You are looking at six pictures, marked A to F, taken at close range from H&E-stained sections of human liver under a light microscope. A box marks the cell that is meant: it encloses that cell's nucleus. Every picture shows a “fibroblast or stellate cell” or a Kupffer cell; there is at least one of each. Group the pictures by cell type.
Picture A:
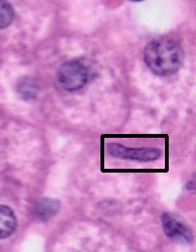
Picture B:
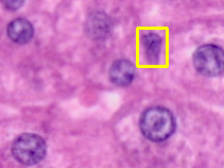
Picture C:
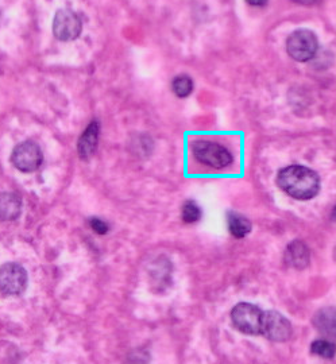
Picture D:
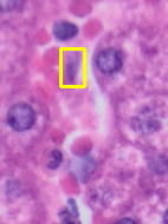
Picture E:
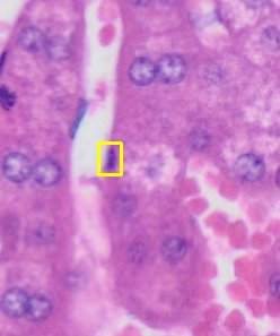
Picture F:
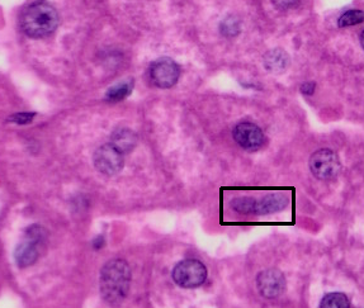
A: Kupffer cell
B: fibroblast or stellate cell
C: Kupffer cell
D: Kupffer cell
E: fibroblast or stellate cell
F: Kupffer cell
